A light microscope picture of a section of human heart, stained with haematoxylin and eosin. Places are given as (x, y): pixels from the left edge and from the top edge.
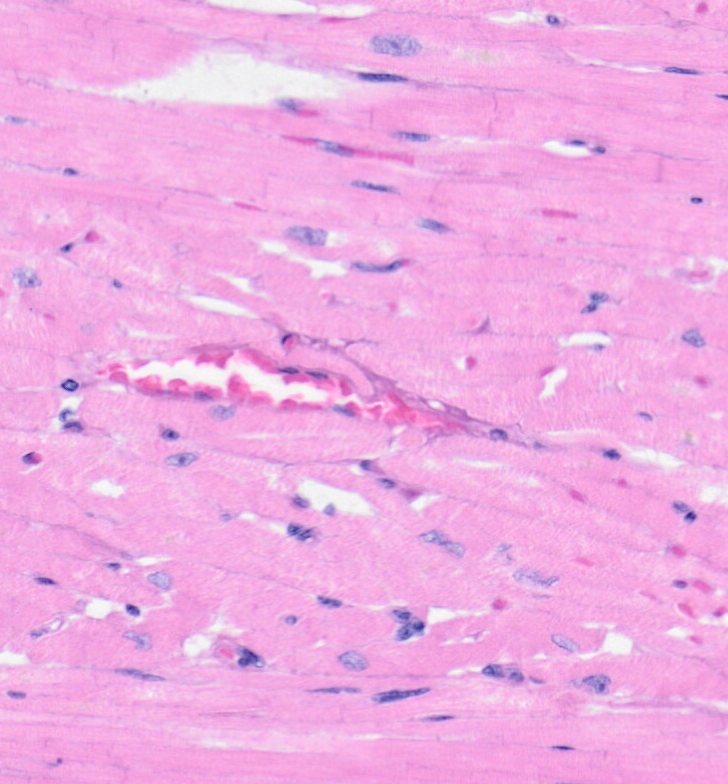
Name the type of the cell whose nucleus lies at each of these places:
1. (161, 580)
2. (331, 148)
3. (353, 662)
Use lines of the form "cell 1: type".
cell 1: cardiomyocyte
cell 2: endothelial cell
cell 3: cardiomyocyte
